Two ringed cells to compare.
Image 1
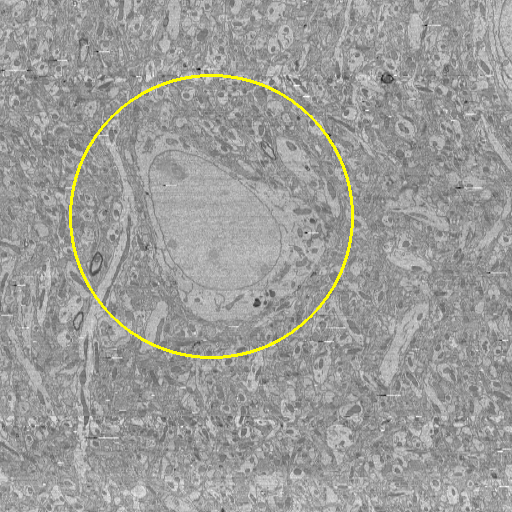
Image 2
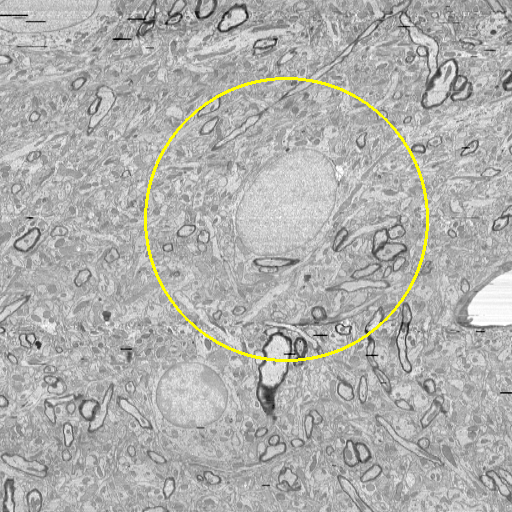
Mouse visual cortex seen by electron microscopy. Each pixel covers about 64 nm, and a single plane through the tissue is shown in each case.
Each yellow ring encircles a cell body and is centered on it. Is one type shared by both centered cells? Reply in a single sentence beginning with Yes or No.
No, two types are found among the cells at the centers of the rings.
